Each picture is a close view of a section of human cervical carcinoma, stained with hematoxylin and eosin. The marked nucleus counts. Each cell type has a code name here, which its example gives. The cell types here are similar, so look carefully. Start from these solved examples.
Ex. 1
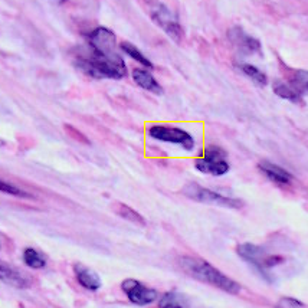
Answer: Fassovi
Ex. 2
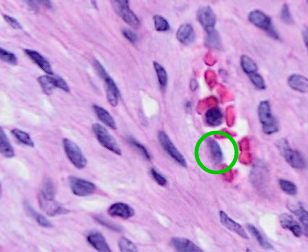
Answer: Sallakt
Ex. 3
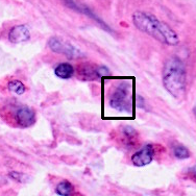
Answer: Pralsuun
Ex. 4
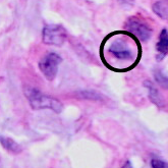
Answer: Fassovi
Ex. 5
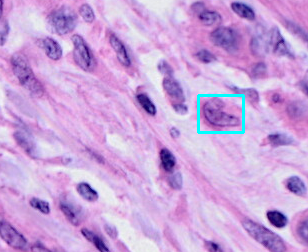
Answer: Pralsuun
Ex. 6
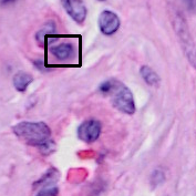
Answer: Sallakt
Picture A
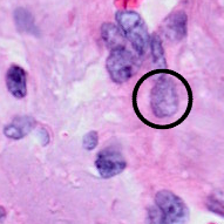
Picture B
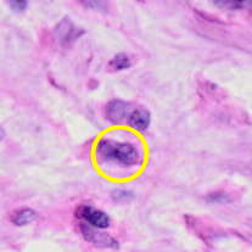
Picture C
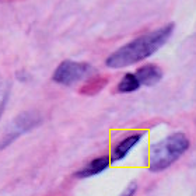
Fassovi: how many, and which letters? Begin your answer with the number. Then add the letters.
0, none of them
